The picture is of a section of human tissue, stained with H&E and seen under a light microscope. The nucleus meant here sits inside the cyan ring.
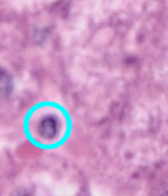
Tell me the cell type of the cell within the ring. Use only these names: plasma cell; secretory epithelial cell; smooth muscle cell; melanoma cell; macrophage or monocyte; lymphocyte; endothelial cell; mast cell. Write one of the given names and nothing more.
lymphocyte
